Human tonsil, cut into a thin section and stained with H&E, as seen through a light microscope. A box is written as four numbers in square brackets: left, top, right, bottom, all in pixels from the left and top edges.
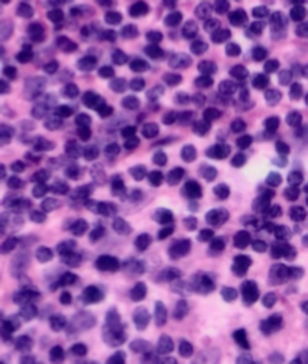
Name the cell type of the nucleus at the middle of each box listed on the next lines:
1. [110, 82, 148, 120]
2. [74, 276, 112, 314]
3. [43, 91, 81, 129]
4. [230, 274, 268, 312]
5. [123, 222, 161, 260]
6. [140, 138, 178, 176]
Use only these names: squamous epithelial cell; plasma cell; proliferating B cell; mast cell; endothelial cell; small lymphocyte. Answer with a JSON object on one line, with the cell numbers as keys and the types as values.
{"1": "small lymphocyte", "2": "proliferating B cell", "3": "small lymphocyte", "4": "proliferating B cell", "5": "proliferating B cell", "6": "small lymphocyte"}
